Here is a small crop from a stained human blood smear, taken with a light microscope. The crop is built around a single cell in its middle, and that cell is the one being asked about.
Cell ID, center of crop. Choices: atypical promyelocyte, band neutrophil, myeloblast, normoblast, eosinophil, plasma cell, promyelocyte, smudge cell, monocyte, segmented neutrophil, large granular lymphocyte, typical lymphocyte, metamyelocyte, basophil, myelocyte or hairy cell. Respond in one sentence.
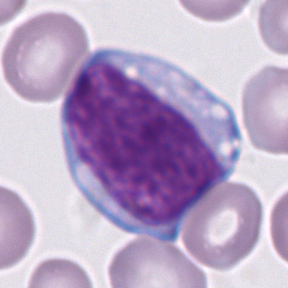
In the central position of this crop, the cell is a myeloblast.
